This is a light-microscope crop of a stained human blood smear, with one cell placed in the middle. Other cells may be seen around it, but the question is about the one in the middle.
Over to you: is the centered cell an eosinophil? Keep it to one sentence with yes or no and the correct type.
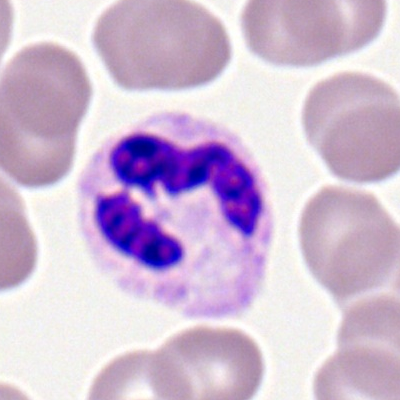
No, in this crop the central cell is a segmented neutrophil instead of an eosinophil.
